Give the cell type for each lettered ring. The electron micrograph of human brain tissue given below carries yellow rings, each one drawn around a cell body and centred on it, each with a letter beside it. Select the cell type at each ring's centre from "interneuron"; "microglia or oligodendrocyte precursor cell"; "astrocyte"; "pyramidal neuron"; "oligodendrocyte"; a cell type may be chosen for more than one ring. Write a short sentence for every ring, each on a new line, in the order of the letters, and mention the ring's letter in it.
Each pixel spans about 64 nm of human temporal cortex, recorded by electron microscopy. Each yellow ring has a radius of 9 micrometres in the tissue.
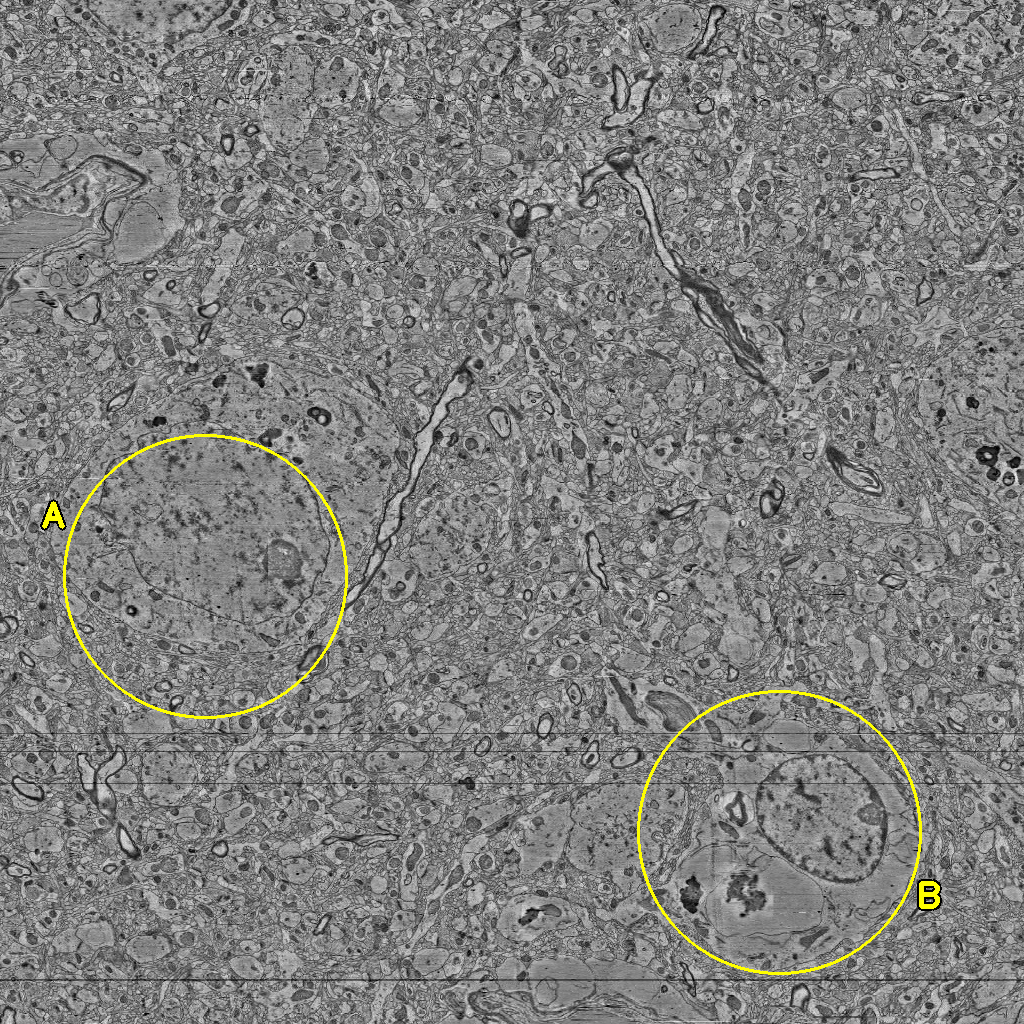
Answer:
The cell type for ring A is a pyramidal neuron.
The cell type for ring B is an astrocyte.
